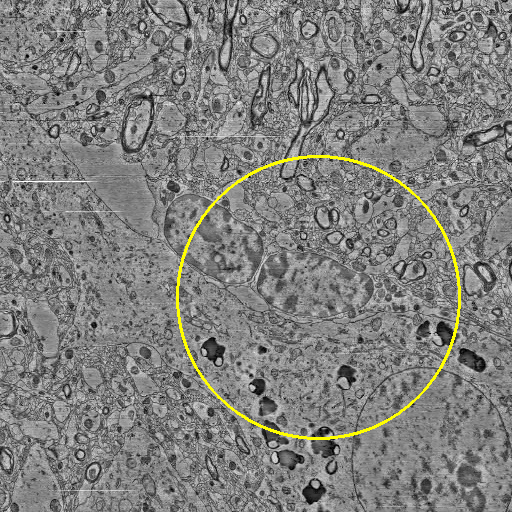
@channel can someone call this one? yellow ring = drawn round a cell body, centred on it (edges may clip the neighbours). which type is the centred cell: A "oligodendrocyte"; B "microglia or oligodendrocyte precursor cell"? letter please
B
